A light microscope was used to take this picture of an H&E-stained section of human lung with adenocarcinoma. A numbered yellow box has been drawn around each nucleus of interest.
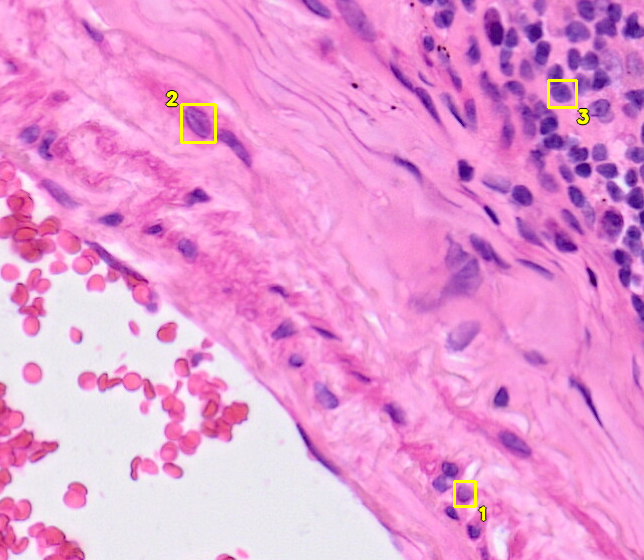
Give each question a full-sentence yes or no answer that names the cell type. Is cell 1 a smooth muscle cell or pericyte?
Yes, the cell that goes by number 1 is a smooth muscle cell or pericyte.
